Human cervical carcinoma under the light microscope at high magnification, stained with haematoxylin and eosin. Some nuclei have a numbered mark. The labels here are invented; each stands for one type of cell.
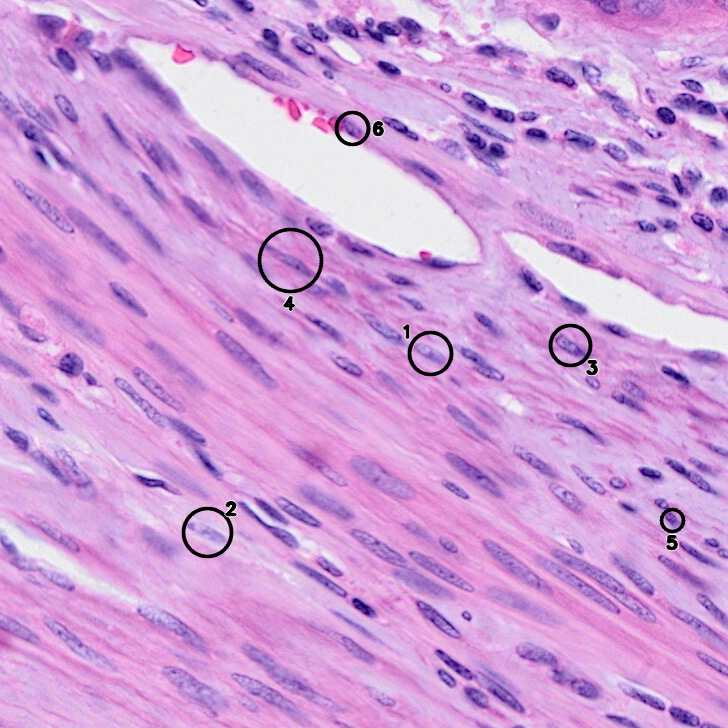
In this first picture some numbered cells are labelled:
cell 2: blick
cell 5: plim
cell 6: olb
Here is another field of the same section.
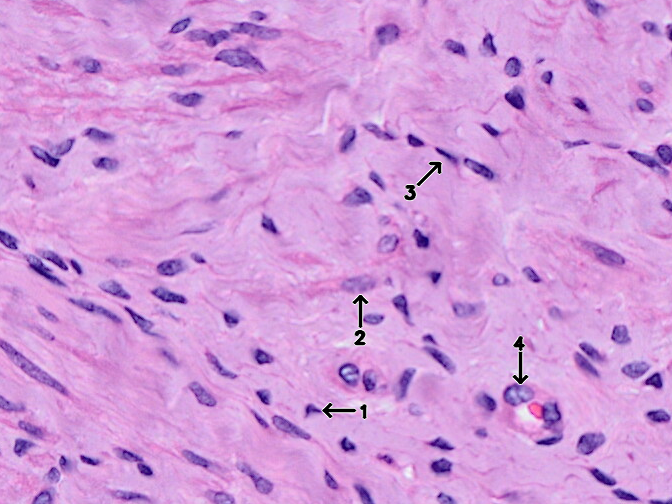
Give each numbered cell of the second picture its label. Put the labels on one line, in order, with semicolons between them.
blick; plim; blick; olb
